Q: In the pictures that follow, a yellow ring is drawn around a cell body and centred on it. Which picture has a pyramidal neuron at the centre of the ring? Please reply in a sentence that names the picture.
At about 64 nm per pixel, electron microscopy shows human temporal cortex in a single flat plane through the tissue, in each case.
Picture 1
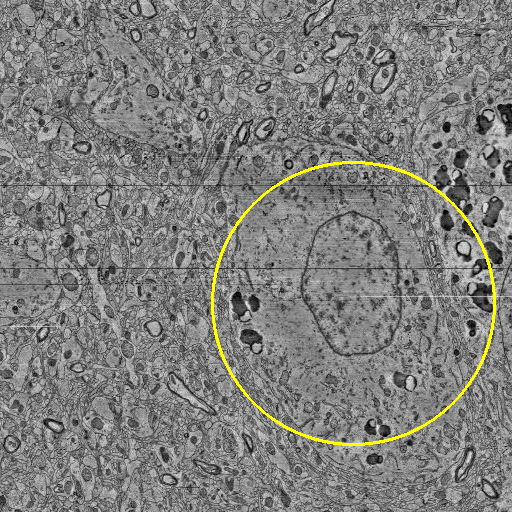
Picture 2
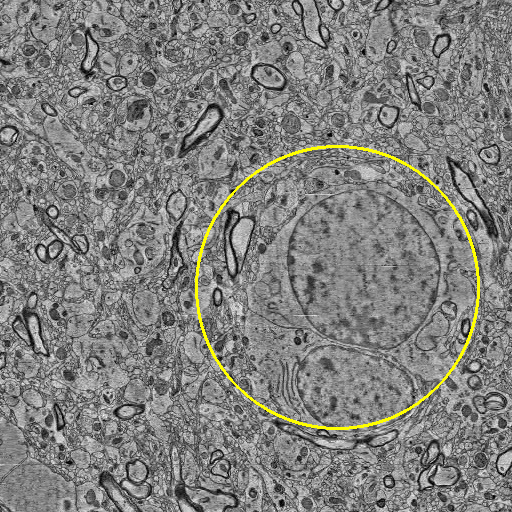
Picture 1 shows it at the centre of its ring.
